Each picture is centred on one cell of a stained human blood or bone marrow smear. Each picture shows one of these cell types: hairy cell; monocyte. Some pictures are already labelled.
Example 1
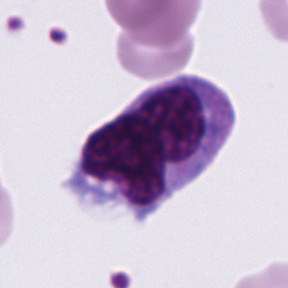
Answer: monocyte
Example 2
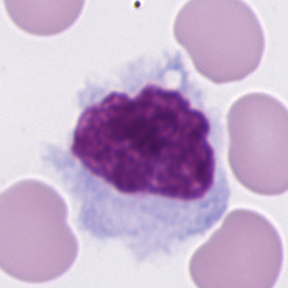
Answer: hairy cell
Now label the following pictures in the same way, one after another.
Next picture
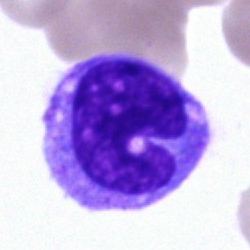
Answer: monocyte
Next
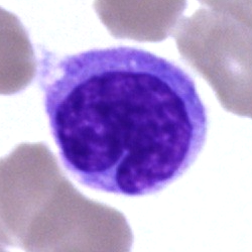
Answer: monocyte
